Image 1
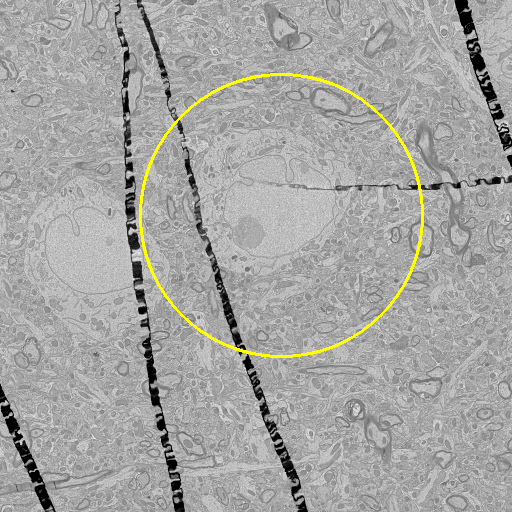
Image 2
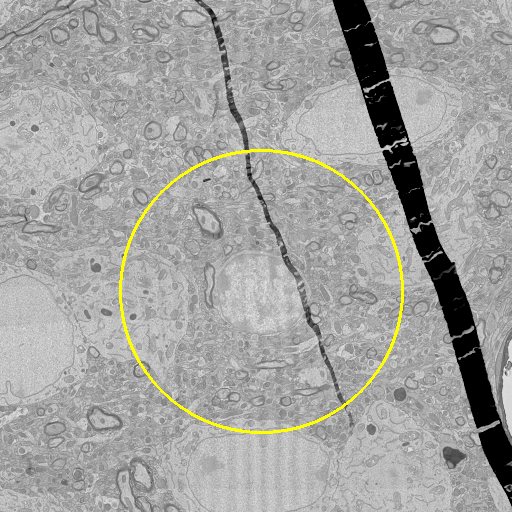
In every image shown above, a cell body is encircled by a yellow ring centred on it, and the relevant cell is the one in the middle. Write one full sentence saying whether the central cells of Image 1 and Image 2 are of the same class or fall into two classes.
The cell at the ring's centre in Image 1 and its counterpart in Image 2 fall into two classes.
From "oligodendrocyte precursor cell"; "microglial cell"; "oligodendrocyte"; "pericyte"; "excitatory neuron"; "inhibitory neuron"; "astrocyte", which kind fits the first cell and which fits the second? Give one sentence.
The cell marked in the first picture is an excitatory neuron, and the one marked in the second is an oligodendrocyte.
